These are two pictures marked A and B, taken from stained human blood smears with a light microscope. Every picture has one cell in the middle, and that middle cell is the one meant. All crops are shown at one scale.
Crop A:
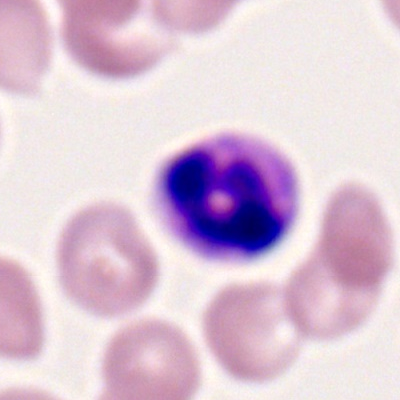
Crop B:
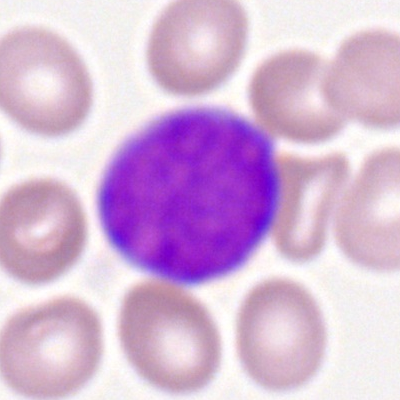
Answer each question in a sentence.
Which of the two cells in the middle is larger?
Crop B holds the larger cell; it covers about 2 times the area of the cell in crop A.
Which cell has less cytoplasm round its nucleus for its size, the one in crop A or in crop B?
It is the cell in crop B that is filled more by its nucleus.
